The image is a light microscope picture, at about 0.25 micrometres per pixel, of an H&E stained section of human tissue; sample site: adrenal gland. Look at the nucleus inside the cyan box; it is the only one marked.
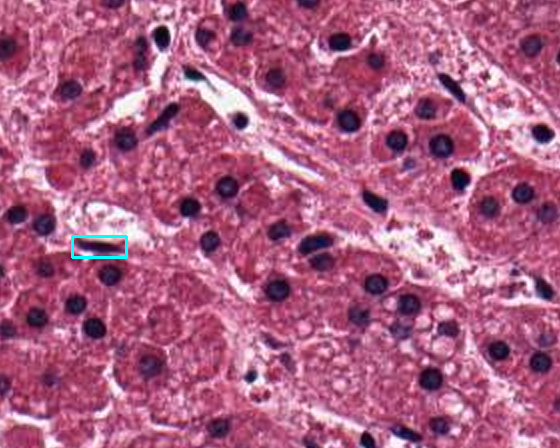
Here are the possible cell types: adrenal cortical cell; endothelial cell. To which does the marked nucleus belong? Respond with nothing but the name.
endothelial cell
